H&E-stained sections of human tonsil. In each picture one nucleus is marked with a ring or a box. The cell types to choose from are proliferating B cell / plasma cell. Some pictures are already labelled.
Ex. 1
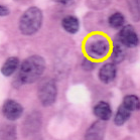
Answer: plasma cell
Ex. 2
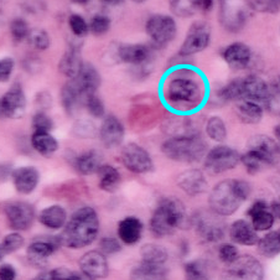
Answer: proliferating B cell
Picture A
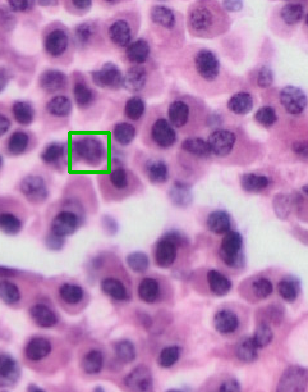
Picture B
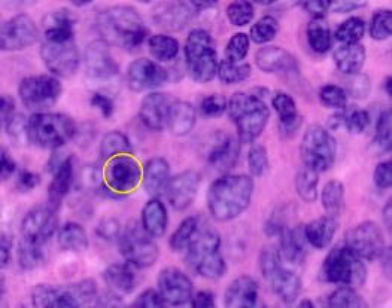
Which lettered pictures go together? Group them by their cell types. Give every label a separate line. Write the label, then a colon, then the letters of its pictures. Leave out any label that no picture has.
proliferating B cell: B
plasma cell: A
